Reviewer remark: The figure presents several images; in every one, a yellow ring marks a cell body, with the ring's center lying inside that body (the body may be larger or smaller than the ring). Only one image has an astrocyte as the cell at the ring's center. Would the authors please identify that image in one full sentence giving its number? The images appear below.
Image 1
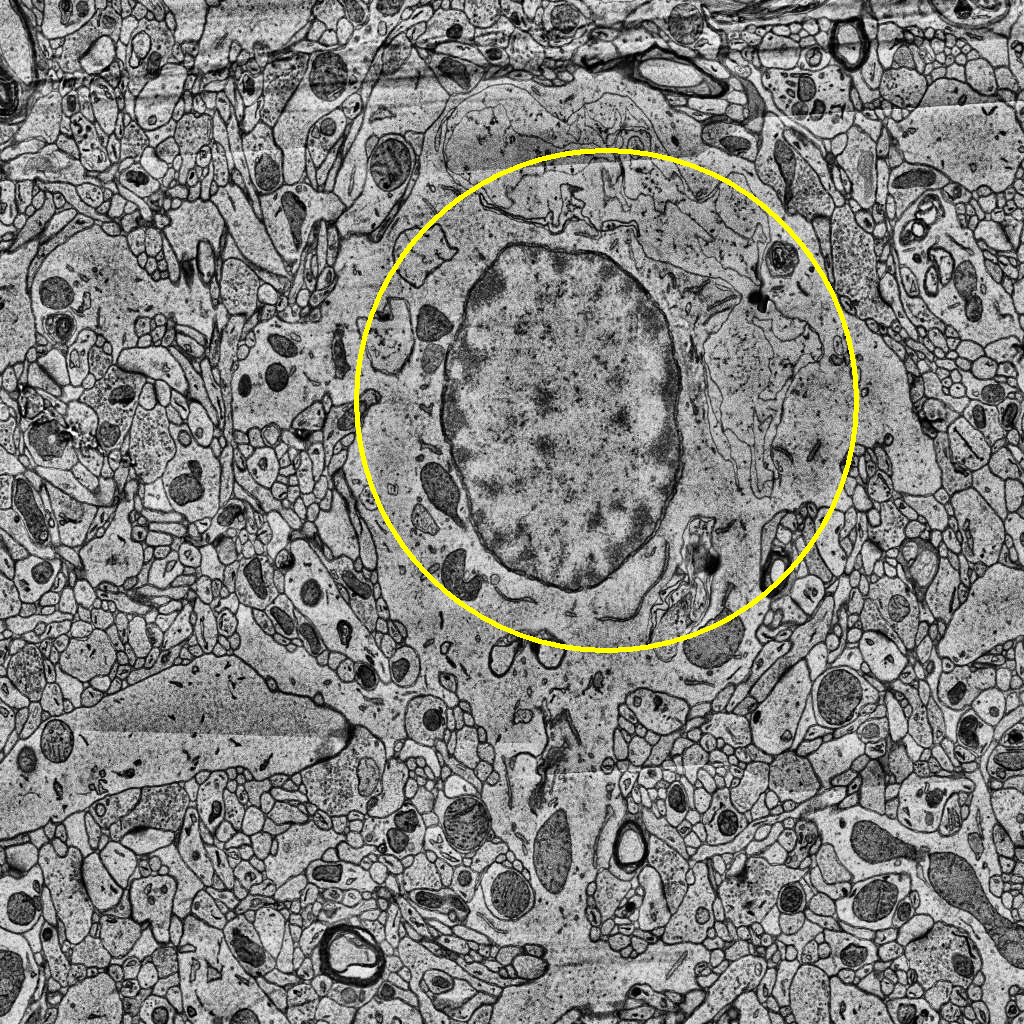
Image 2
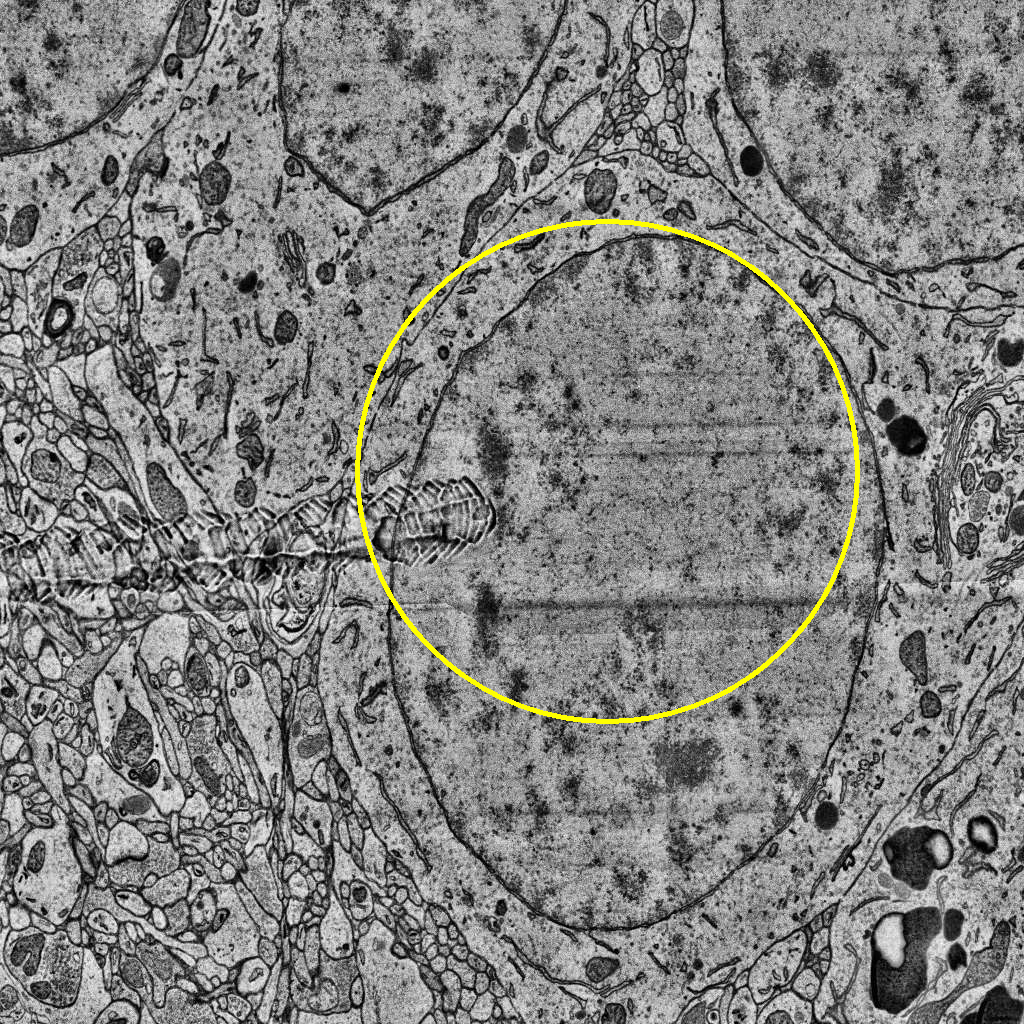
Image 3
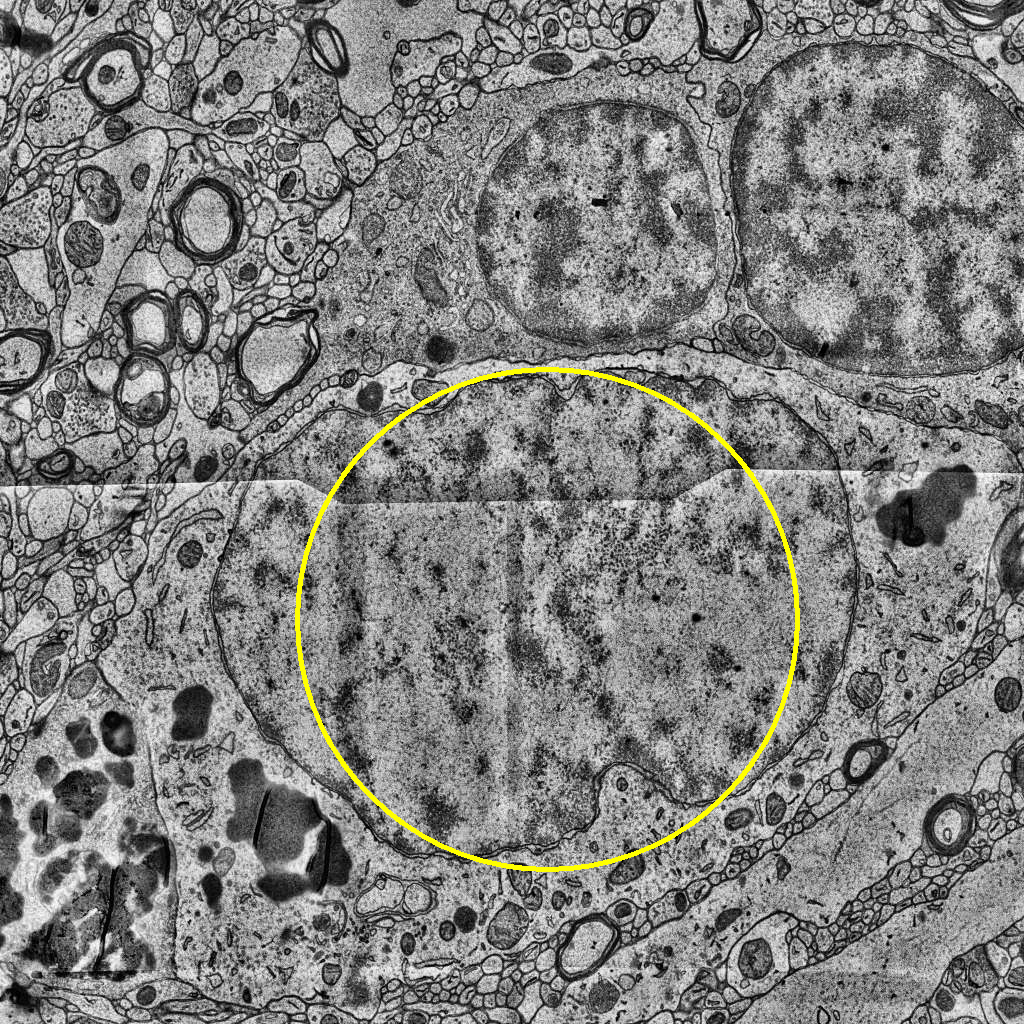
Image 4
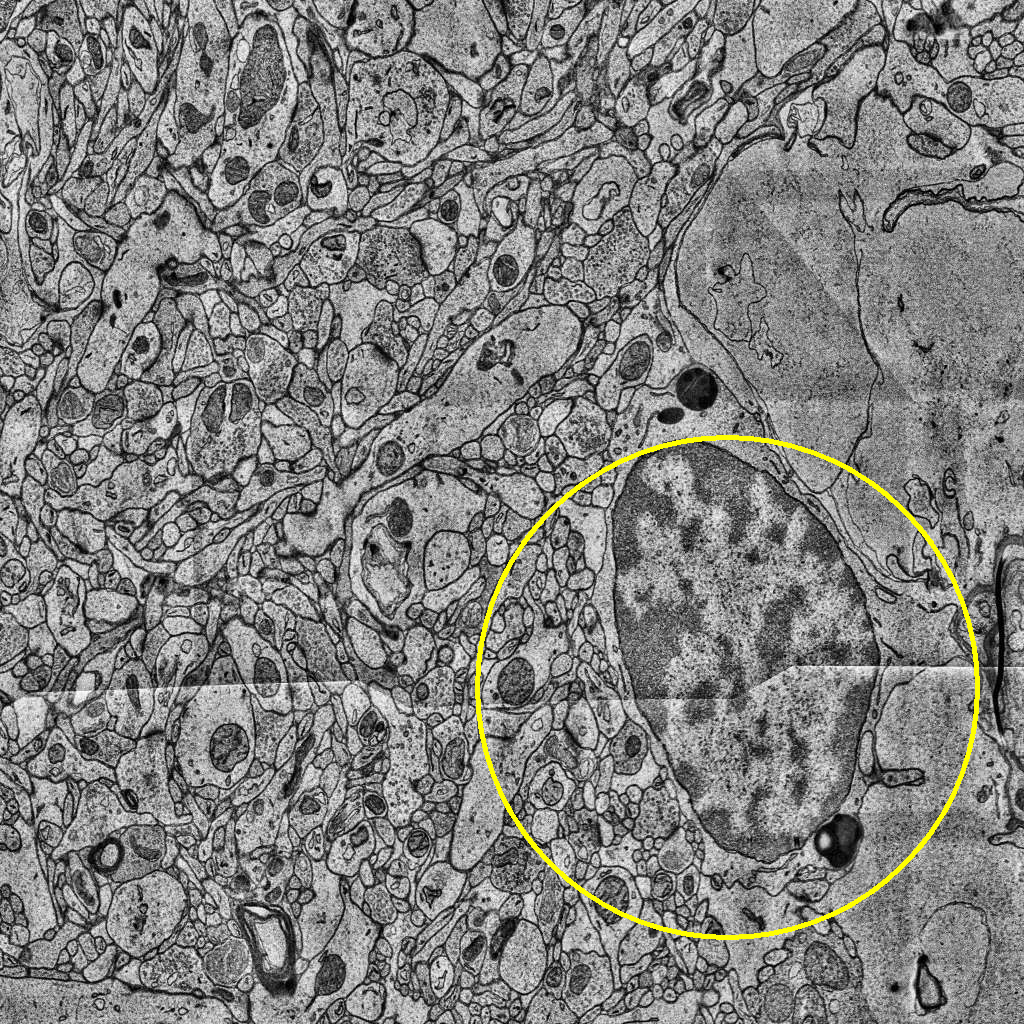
The cell at the ring's center in image 1 is the one the question describes.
